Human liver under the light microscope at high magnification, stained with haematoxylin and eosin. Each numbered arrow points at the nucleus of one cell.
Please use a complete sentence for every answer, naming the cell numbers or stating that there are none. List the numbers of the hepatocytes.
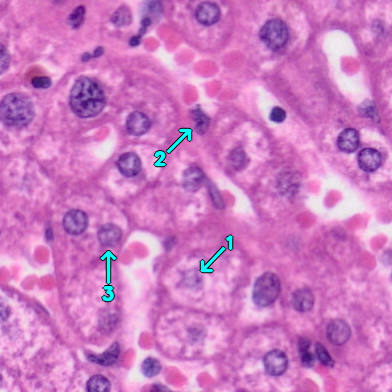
To be specific, the cells numbered 1 and 3 are hepatocytes.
